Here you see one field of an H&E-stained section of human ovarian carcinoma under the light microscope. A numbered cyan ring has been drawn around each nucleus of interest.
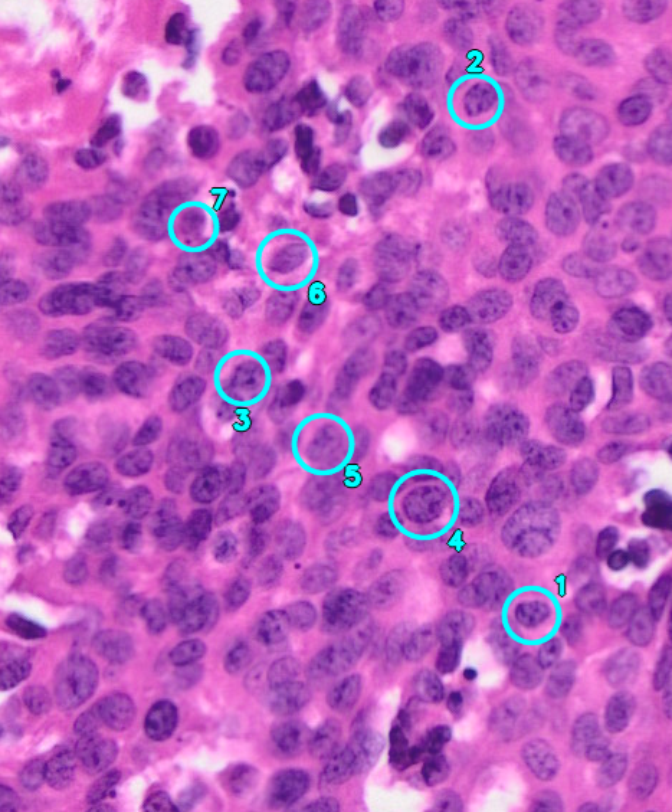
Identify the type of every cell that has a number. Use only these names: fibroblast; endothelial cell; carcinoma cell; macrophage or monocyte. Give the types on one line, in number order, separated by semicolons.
macrophage or monocyte; macrophage or monocyte; macrophage or monocyte; carcinoma cell; carcinoma cell; carcinoma cell; carcinoma cell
